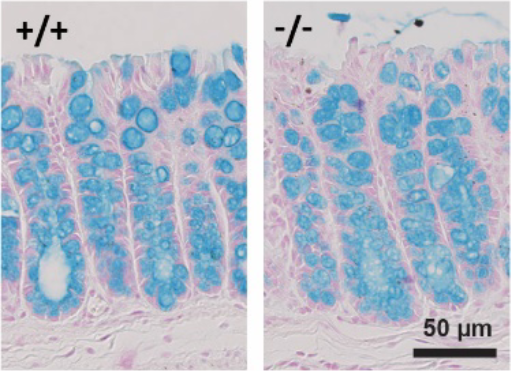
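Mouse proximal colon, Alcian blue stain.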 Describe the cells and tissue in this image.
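The goblet cells are rounded and vacuole-like, stacked along the whole length of each crypt and reaching the surface epithelium. A pale pink counterstain marks the intervening epithelial and lamina propria cells, and the crypt bases rest on the underlying tissue at the bottom.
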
